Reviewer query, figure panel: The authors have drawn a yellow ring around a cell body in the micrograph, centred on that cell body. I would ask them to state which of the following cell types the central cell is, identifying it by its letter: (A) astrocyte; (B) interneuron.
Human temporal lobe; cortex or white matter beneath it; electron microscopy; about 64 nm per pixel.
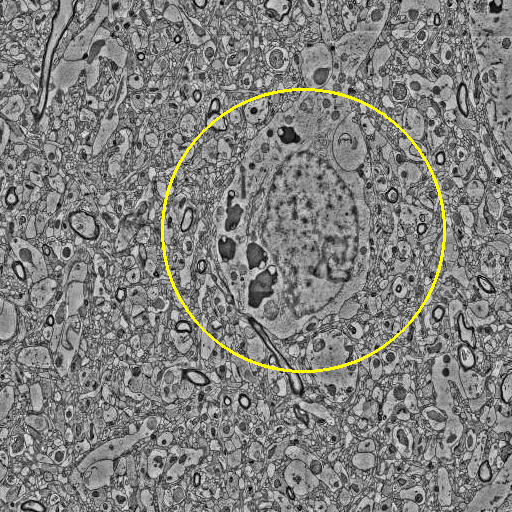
B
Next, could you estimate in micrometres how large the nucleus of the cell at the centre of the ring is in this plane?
The nucleus of the ringed cell is clearly longer than it is wide in this plane, about 10 by 6 micrometres.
